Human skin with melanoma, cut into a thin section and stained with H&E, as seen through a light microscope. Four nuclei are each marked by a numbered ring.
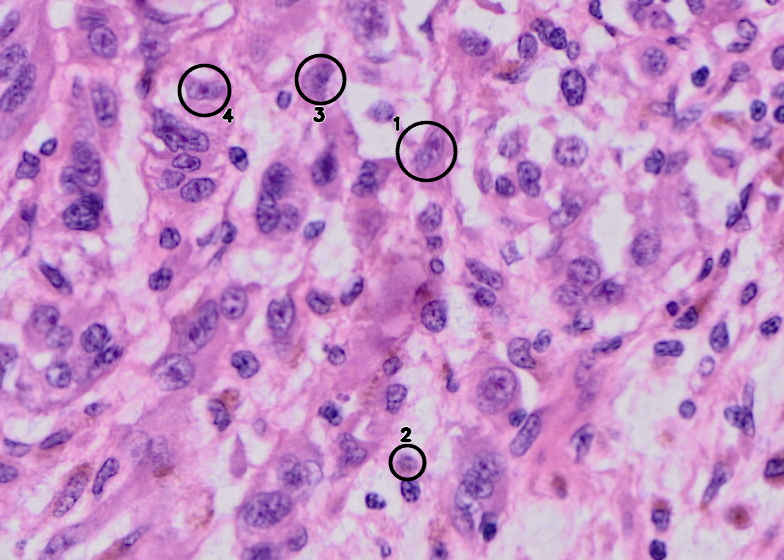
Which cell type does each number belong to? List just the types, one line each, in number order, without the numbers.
melanoma cell
macrophage or monocyte
melanoma cell
melanoma cell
